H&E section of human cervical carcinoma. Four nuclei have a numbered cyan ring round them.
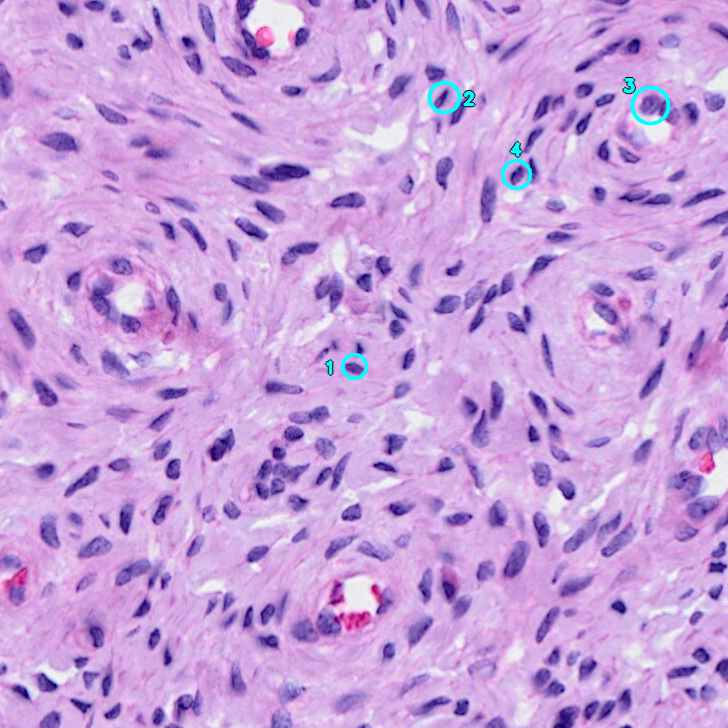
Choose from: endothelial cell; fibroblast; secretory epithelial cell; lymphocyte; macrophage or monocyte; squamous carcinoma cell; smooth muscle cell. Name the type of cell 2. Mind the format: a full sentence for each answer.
The cell marked with number 2 is a fibroblast.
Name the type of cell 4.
Cell 4 should be recorded as a fibroblast.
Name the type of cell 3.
The nucleus marked 3 is the nucleus of an endothelial cell.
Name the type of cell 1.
The nucleus marked 1 is the nucleus of a fibroblast.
